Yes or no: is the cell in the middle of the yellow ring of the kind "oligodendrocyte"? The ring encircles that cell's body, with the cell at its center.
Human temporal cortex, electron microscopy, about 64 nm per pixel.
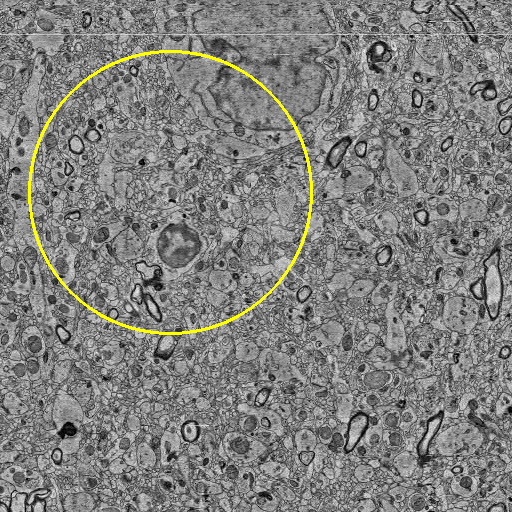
no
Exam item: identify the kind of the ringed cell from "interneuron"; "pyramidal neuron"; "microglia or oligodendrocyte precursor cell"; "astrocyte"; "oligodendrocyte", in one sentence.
At the centre of the ring sits a microglial cell or oligodendrocyte precursor cell.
